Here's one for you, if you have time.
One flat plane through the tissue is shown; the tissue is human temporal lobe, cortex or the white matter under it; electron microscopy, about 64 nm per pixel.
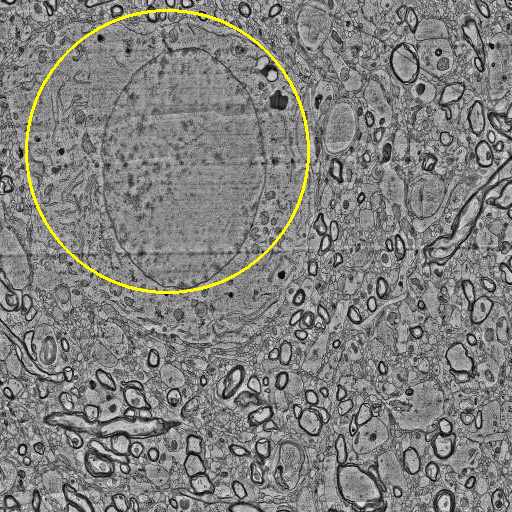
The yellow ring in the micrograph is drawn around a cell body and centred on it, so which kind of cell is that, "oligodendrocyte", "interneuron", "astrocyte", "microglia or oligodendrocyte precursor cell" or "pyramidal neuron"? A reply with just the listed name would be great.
pyramidal neuron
